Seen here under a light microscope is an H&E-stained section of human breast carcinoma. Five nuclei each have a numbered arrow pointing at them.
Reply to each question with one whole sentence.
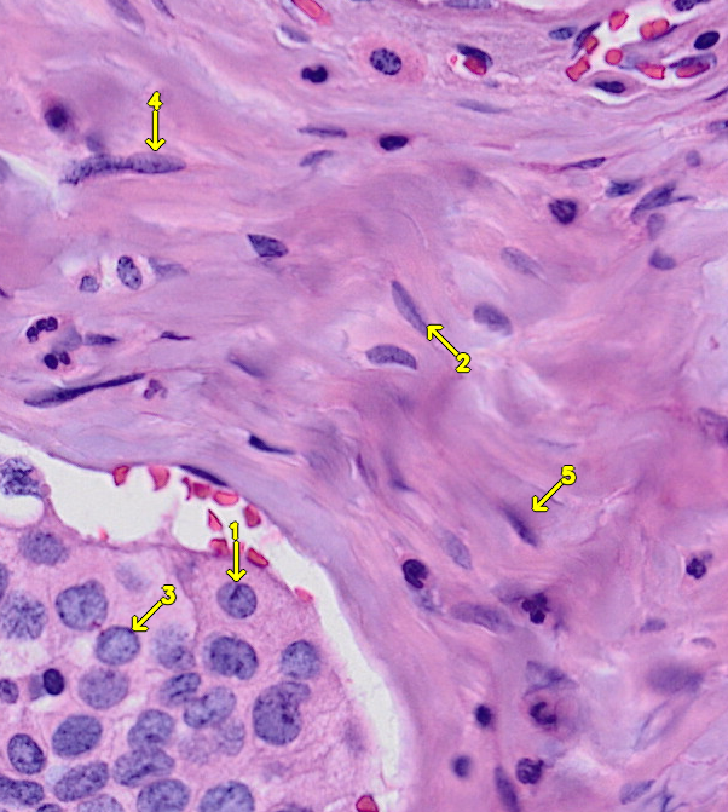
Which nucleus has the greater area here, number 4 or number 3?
At about 1.5 times the area of nucleus 4, nucleus 3 is the larger of the two.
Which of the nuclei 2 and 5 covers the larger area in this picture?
Of the two, number 2 is bigger and takes up about 1.5 times the area of number 5.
